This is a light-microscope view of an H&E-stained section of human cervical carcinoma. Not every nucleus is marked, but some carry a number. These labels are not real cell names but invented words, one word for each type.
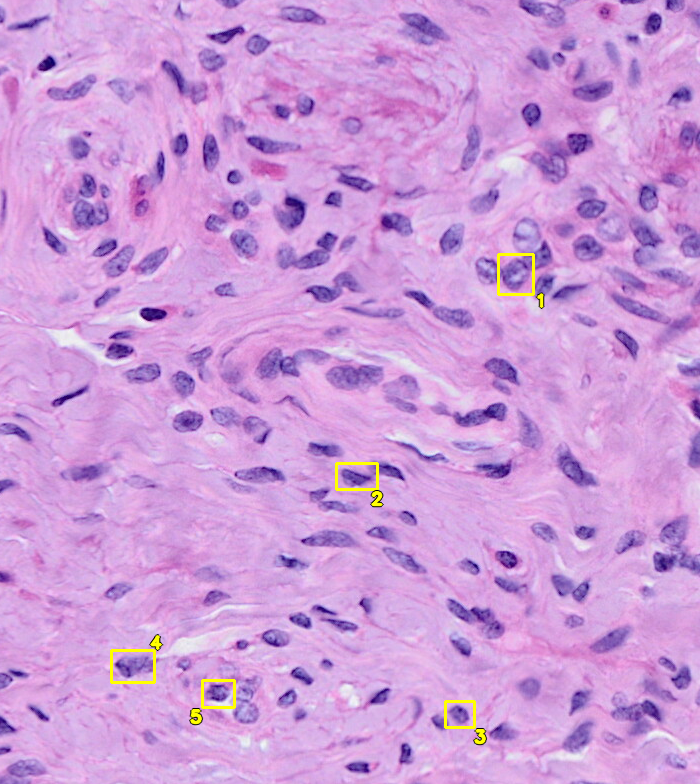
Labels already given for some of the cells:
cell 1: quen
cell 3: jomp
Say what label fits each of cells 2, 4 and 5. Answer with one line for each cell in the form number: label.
2: jomp
4: jomp
5: quen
